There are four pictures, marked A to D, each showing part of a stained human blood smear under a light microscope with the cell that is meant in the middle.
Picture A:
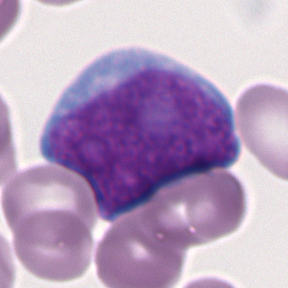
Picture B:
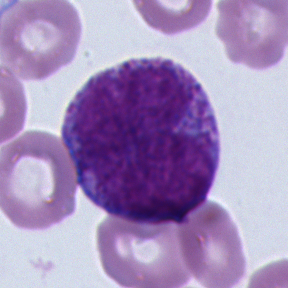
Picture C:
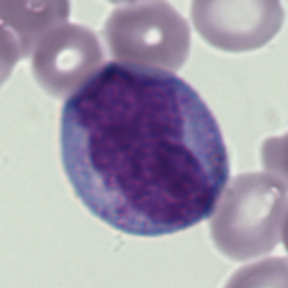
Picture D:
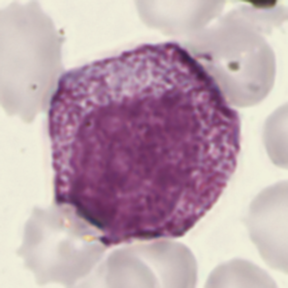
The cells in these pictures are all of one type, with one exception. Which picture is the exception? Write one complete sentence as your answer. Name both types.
Picture A is the odd one out: it shows a myeloblast, while the others show promyelocytes.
